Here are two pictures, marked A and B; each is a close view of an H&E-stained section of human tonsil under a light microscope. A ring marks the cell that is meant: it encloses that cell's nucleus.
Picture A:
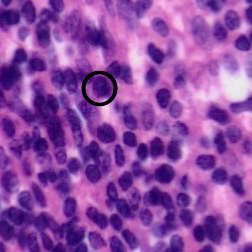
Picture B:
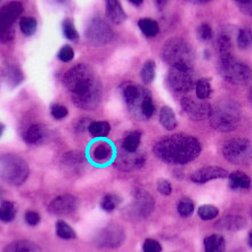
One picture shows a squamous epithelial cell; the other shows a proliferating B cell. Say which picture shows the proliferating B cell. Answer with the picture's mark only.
A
